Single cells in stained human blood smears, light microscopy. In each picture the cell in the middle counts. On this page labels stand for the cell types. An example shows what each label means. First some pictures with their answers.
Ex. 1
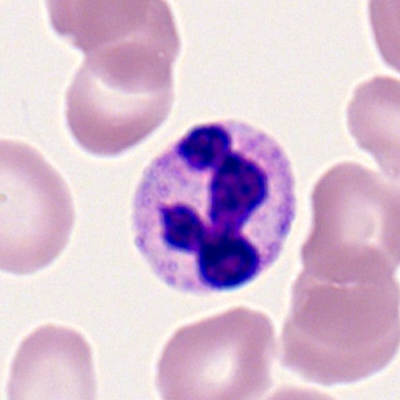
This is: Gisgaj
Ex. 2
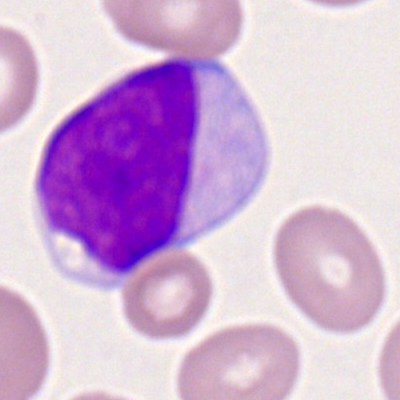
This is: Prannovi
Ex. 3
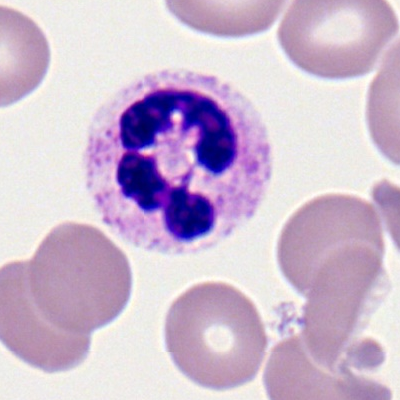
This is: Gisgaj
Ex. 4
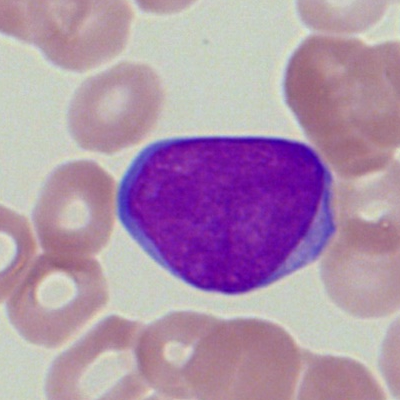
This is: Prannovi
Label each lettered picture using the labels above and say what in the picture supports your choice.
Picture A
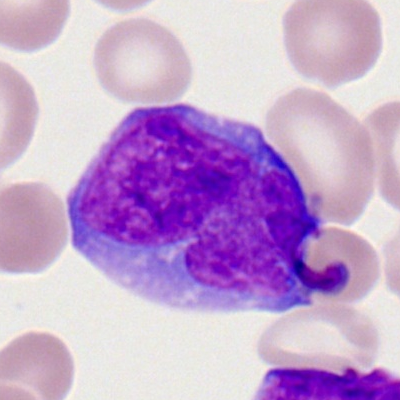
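Prannovi: The nucleus fills most of the cell.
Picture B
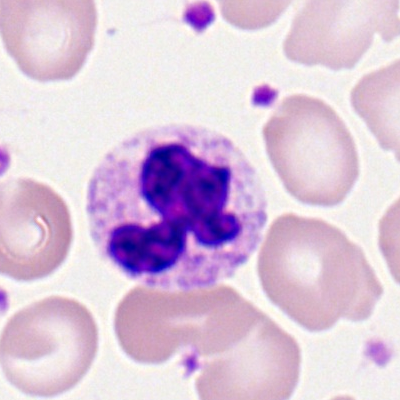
Gisgaj: The cytoplasm is plentiful and pale pinkish-lilac.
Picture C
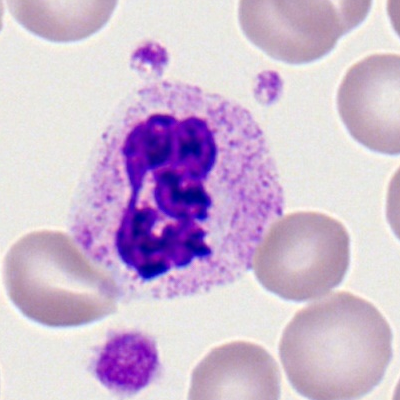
Gisgaj: The cytoplasm is plentiful and pale pinkish-lilac.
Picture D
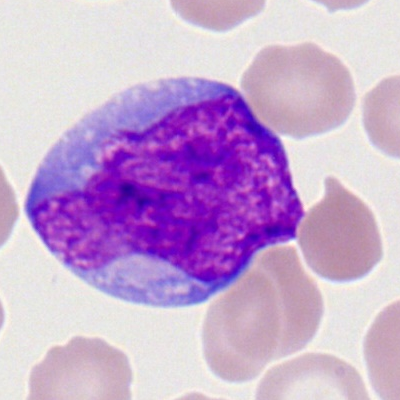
Prannovi: The nucleus fills most of the cell.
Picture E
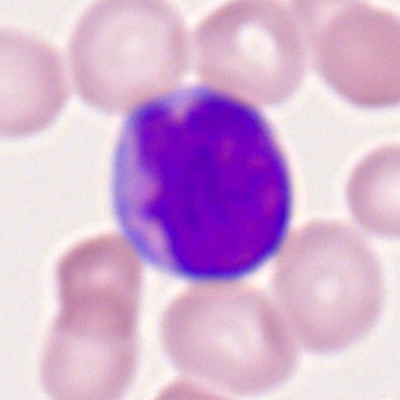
Prannovi: The cytoplasm is scant and pale blue.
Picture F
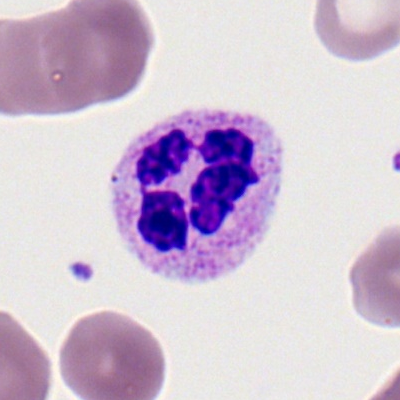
Gisgaj: The cytoplasm is plentiful and pale pinkish-lilac.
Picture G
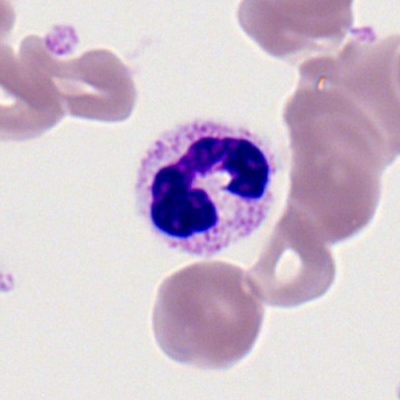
Gisgaj: Pale pinkish cytoplasm surrounds the nucleus on all sides.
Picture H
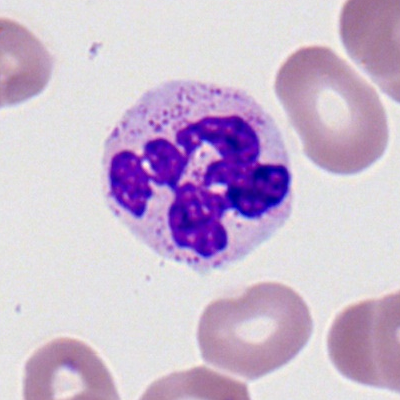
Gisgaj: The nucleus is divided into several separate lobes.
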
